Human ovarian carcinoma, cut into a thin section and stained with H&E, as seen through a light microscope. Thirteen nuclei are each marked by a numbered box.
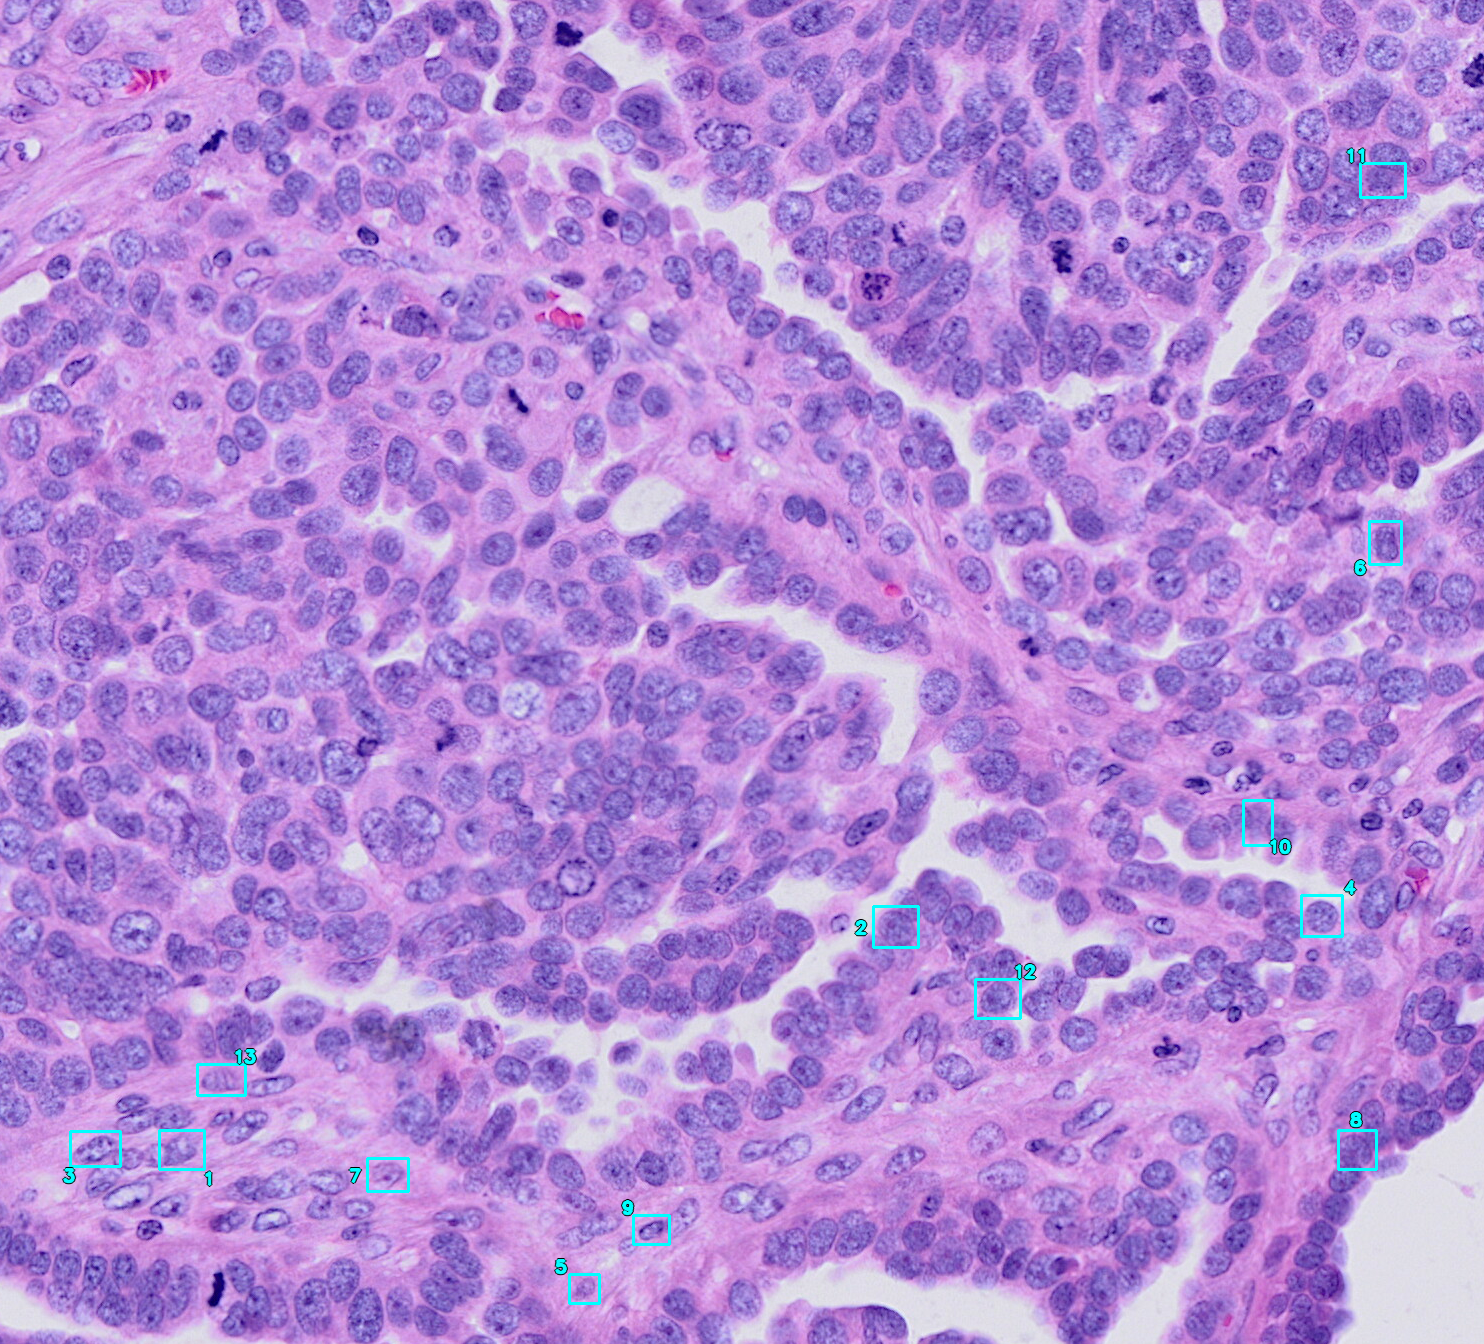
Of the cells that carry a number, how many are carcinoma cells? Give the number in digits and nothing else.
7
